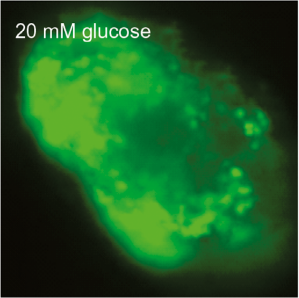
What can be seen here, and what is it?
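A single compact, roughly oval cluster of tightly packed cells fills the frame against a dark background. Its edge is irregular and lobed. Within it, many small rounded cell bodies glow green with uneven brightness: some regions, especially toward the left and lower edge, are bright and merge into broad patches, while a darker zone lies in the middle. Along the right side, individual rounded cells stand out as distinct bright dots. No separate layers or ducts can be made out. The size, rounded shape and dense packing of the cluster fit a single islet of endocrine cells seen whole.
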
